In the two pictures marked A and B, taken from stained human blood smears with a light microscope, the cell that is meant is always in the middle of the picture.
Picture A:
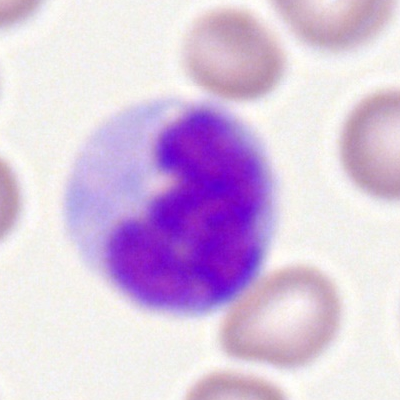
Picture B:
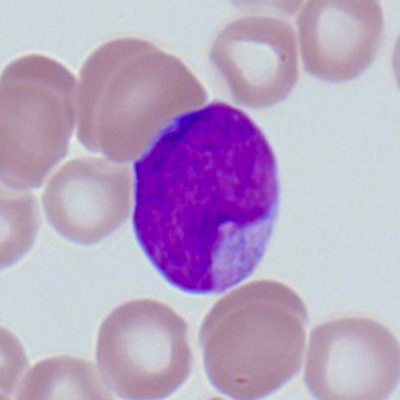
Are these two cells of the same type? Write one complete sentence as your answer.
No; the cell in picture A is a monocyte, while the one in picture B is a myeloblast.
